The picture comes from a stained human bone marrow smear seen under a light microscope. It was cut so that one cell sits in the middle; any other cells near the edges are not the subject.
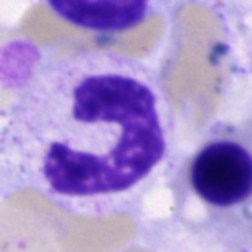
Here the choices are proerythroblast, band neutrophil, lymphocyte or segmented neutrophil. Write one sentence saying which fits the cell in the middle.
Of the cells in this crop, the central one is a band neutrophil.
